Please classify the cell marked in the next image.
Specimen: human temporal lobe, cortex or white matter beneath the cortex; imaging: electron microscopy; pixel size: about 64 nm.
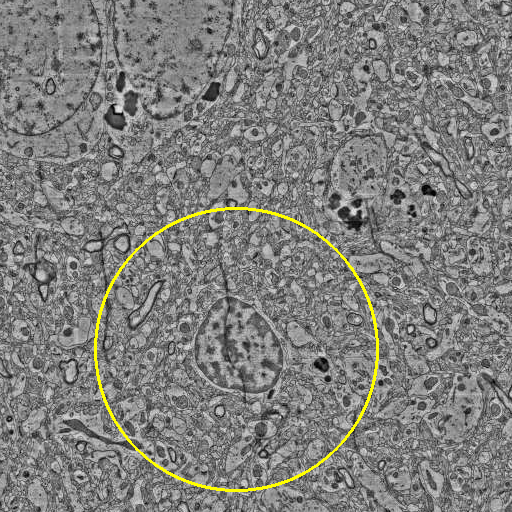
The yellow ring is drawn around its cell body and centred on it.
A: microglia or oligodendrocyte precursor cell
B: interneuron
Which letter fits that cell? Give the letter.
A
